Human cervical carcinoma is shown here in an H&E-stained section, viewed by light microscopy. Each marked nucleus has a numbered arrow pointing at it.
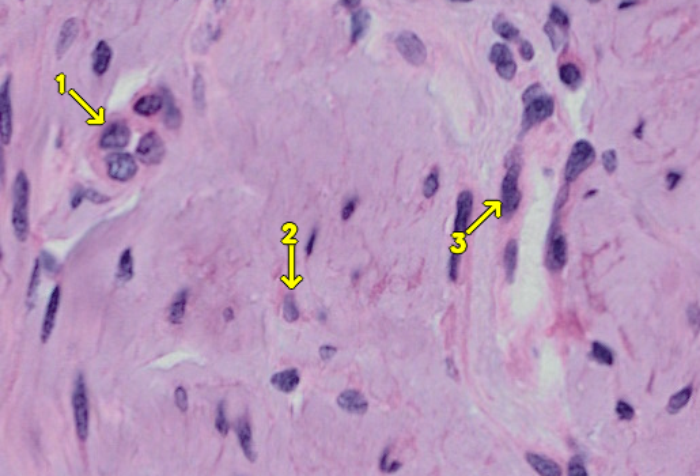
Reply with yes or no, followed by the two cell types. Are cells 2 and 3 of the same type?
No, cell 2 is a smooth muscle cell and cell 3 is an endothelial cell.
